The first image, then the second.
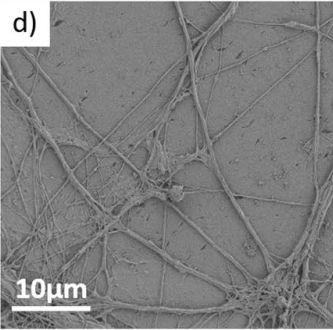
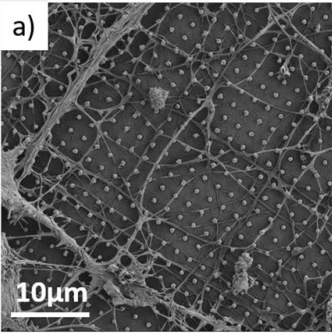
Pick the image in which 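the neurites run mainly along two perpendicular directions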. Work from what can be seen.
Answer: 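The second image. First image: processes run in many directions across a smooth surface, with no dominant orientation. Second image: many processes run straight along the rows of the dot lattice, crossing at roughly right angles in a grid-like pattern.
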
